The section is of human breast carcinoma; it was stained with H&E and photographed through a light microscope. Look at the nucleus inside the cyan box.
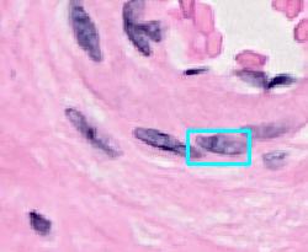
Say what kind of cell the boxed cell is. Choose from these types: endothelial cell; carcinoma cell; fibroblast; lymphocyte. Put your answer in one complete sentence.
In this field of tissue, the boxed cell is an endothelial cell.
